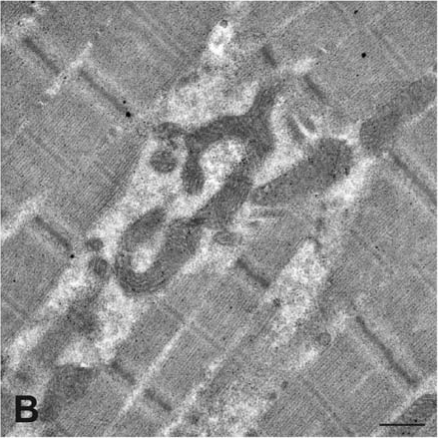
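Striated myofibrils with regular cross-bands are separated by a wide, irregular pale zone. Within this zone lie dark mitochondria with cristae, several of them curved and forked into branching shapes. This shows uneven space between myofibrils holding branched mitochondria.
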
